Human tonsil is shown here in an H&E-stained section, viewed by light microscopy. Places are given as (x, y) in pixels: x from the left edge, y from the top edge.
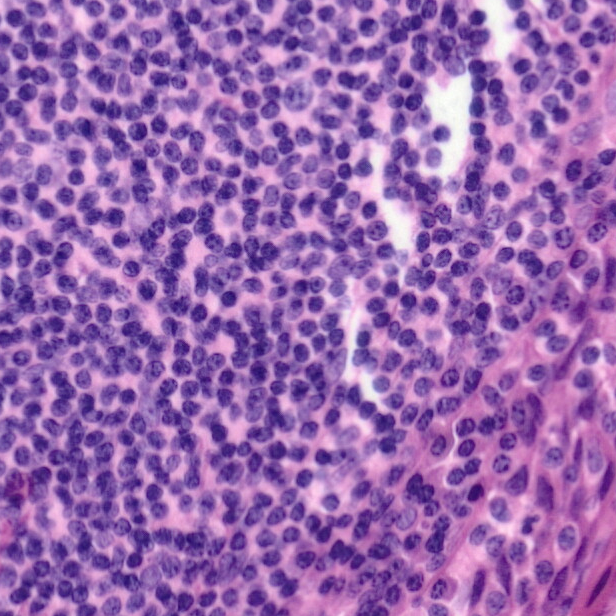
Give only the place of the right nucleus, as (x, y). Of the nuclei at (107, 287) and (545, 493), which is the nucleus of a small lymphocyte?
(107, 287)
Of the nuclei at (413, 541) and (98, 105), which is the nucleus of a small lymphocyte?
(98, 105)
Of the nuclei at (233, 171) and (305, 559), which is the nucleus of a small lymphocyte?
(233, 171)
